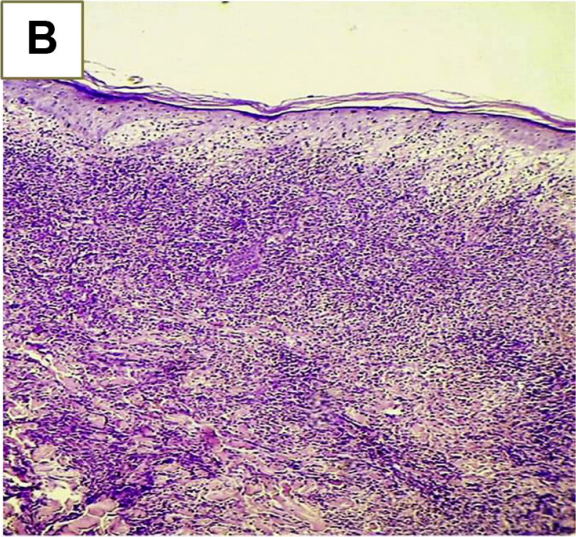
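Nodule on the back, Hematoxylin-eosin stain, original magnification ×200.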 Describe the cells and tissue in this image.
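Skin with a dense atypical lymphoid infiltrate filling the dermis beneath a thin epidermis. The infiltrate is made of closely packed cells with small dark-purple nuclei, forming sheets that reach the deep part of the section, with pink collagen bundles visible between cells at the lower edge.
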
